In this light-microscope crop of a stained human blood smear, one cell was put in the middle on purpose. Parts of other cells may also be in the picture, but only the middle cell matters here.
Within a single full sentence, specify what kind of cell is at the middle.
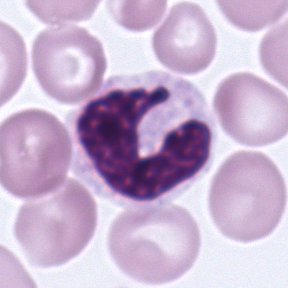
The cell positioned in the middle of the field is a band neutrophil.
